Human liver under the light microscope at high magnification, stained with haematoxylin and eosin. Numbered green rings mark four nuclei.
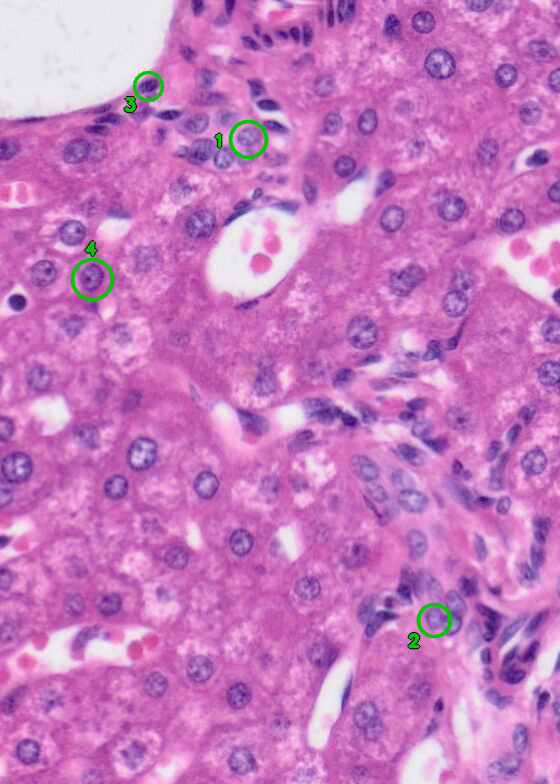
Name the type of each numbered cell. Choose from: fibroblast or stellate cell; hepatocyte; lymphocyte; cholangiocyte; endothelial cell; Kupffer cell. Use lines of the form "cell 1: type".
cell 1: cholangiocyte
cell 2: cholangiocyte
cell 3: fibroblast or stellate cell
cell 4: hepatocyte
